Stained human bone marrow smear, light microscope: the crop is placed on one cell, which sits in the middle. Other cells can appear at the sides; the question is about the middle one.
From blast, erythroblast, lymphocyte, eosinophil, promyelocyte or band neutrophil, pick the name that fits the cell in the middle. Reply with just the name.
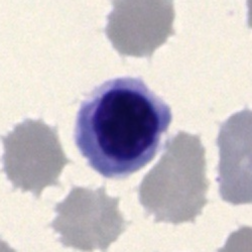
erythroblast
